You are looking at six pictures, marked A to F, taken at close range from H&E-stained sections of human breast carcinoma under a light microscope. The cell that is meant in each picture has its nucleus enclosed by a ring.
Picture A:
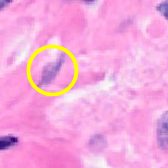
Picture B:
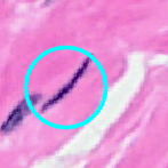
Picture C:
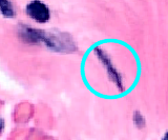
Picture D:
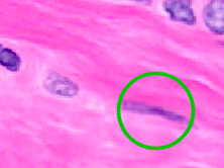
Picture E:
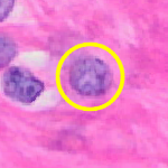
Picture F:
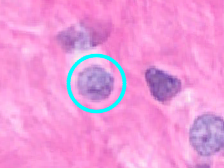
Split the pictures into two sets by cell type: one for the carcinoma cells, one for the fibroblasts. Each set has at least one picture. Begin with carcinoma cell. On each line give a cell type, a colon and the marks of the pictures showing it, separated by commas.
carcinoma cell: E, F
fibroblast: A, B, C, D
